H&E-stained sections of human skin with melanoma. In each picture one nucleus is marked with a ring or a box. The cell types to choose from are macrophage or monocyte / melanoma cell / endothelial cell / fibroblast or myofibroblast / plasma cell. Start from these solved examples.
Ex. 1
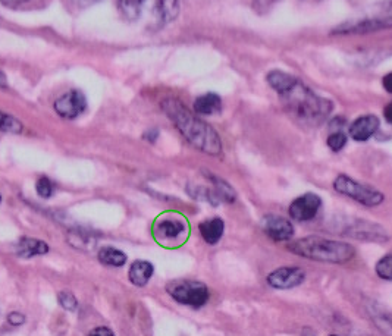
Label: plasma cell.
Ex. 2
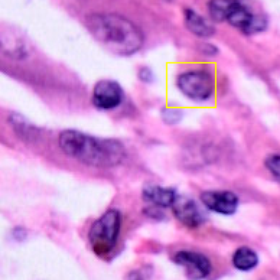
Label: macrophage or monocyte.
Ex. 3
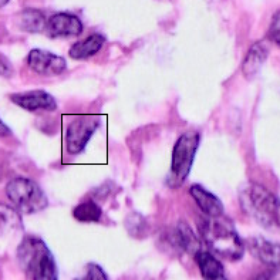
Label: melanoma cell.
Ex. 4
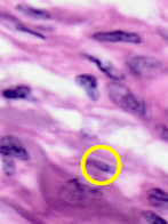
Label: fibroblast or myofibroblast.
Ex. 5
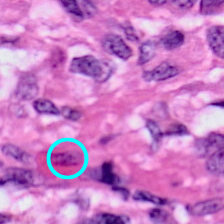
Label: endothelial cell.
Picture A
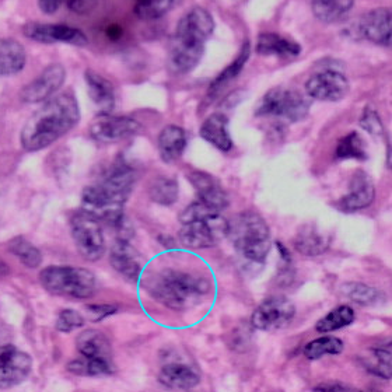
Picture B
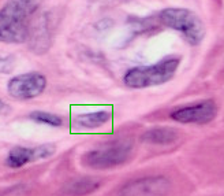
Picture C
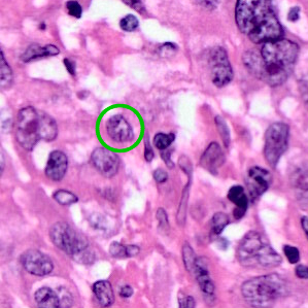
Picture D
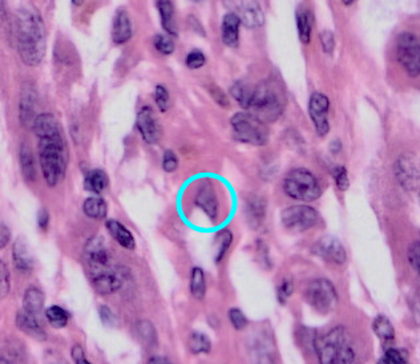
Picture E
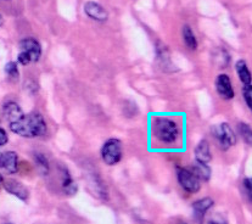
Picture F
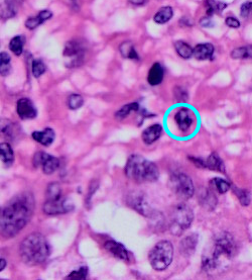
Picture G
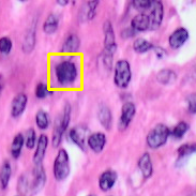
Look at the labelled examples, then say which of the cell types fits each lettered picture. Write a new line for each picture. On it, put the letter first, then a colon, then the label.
A: melanoma cell.
B: fibroblast or myofibroblast.
C: melanoma cell.
D: endothelial cell.
E: plasma cell.
F: plasma cell.
G: plasma cell.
